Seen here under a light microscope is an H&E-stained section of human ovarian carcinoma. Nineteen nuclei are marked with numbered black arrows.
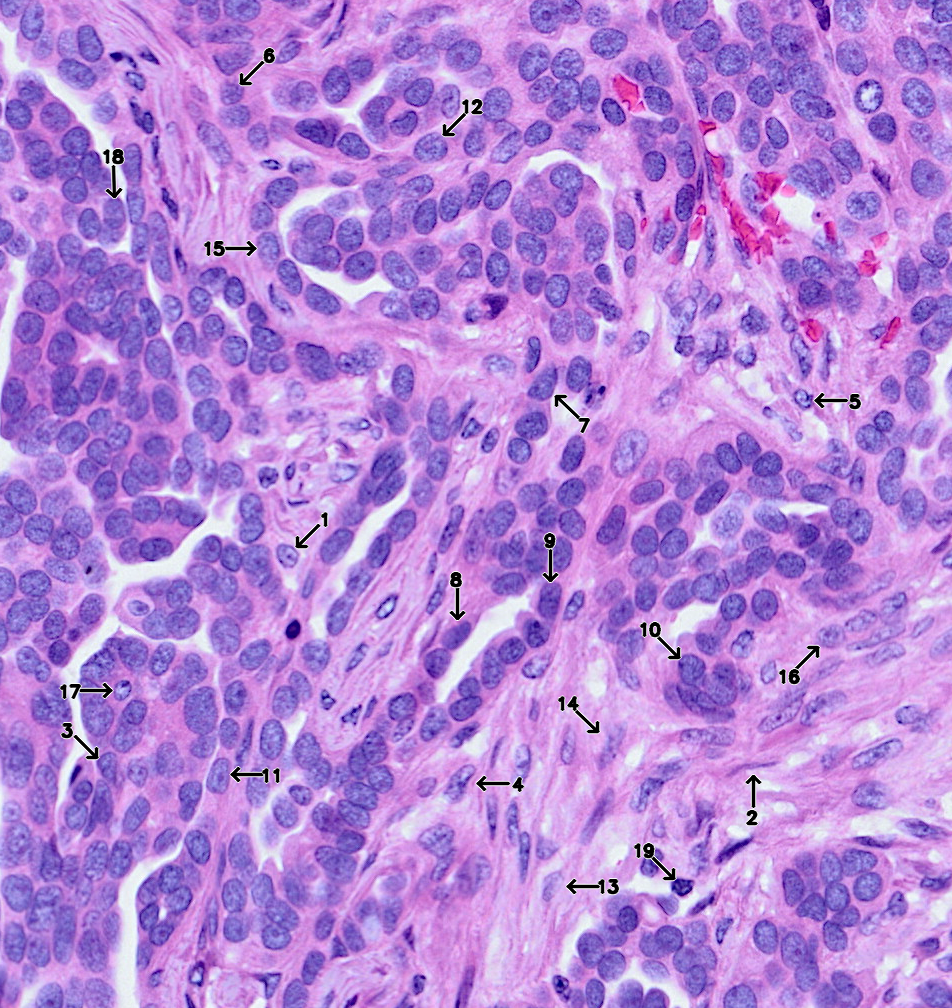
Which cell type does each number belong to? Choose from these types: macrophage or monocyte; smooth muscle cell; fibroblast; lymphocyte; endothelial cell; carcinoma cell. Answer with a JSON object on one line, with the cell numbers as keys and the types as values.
{"1": "macrophage or monocyte", "2": "fibroblast", "3": "carcinoma cell", "4": "fibroblast", "5": "fibroblast", "6": "carcinoma cell", "7": "carcinoma cell", "8": "carcinoma cell", "9": "carcinoma cell", "10": "carcinoma cell", "11": "carcinoma cell", "12": "carcinoma cell", "13": "fibroblast", "14": "fibroblast", "15": "carcinoma cell", "16": "fibroblast", "17": "macrophage or monocyte", "18": "carcinoma cell", "19": "lymphocyte"}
